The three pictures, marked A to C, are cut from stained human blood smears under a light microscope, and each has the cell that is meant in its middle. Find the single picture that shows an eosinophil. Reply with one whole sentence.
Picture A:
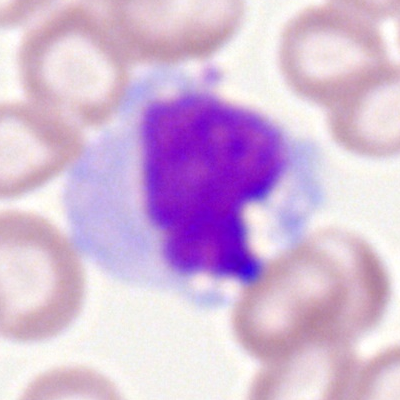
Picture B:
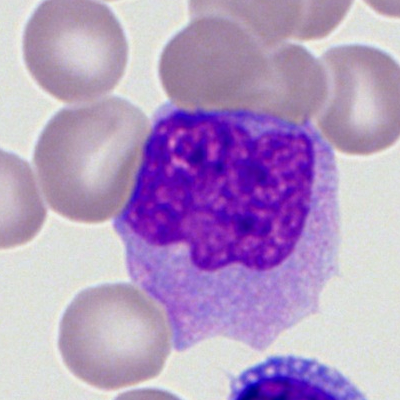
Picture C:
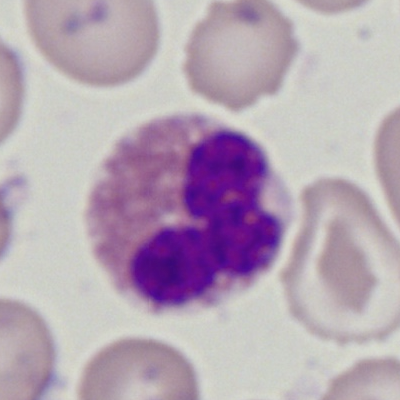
It is picture C that shows the eosinophil.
